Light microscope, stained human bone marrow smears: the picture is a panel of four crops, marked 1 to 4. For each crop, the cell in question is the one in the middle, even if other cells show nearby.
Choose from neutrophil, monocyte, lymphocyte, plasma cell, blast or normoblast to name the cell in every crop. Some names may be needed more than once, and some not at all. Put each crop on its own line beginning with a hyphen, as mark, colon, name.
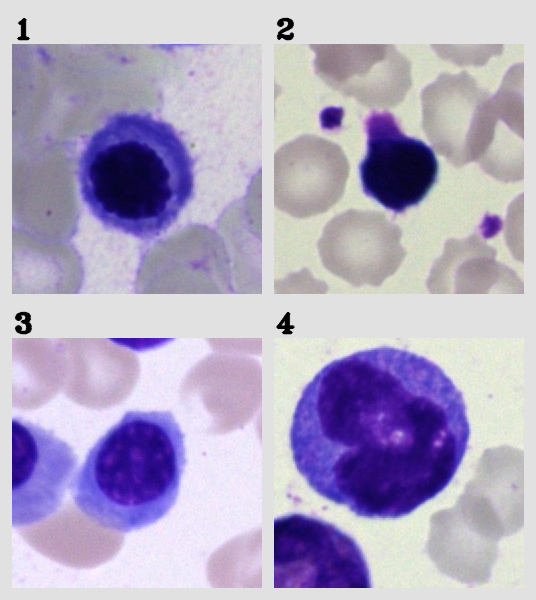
- 1: normoblast
- 2: lymphocyte
- 3: normoblast
- 4: monocyte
